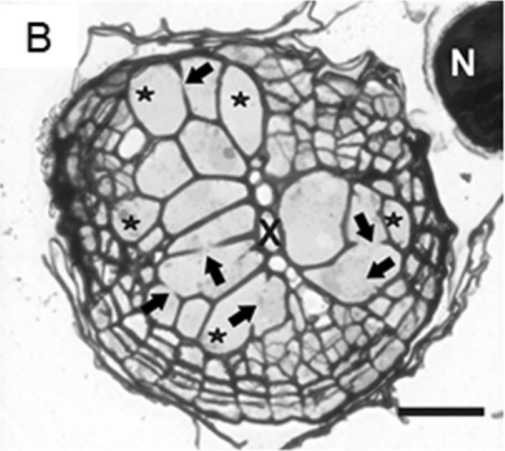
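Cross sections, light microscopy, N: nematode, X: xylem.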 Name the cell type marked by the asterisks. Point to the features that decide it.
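They are several times larger than the small cells of the outer tissue. The answer: syncytial elements.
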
